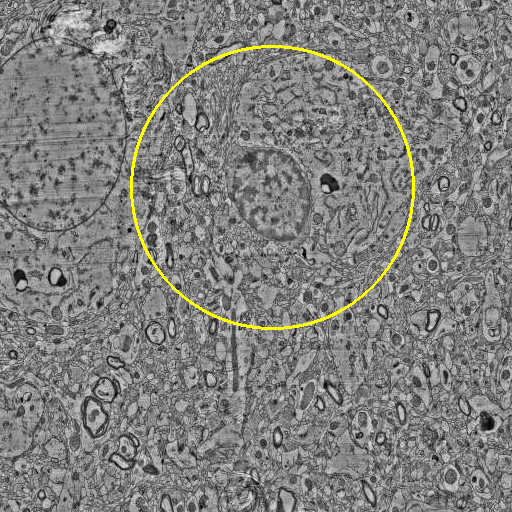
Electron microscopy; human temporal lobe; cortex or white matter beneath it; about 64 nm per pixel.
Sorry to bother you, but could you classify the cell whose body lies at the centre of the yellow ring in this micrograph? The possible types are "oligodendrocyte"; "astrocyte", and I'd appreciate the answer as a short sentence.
The ringed cell body is that of an oligodendrocyte.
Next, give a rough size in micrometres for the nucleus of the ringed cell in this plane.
In this plane, roughly 6 by 5 micrometres.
